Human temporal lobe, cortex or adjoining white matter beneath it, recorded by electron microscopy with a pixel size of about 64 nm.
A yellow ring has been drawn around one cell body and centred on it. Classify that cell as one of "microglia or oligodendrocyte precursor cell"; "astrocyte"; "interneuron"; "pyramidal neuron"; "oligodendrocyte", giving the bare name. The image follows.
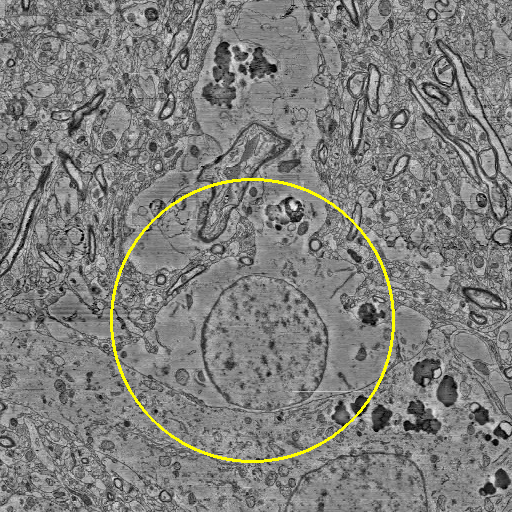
astrocyte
